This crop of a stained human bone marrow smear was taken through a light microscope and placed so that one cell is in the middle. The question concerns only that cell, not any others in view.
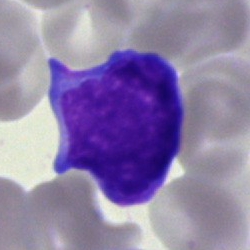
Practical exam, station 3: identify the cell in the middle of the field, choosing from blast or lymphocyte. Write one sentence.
The cell at the middle of the crop is recognized as a blast.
